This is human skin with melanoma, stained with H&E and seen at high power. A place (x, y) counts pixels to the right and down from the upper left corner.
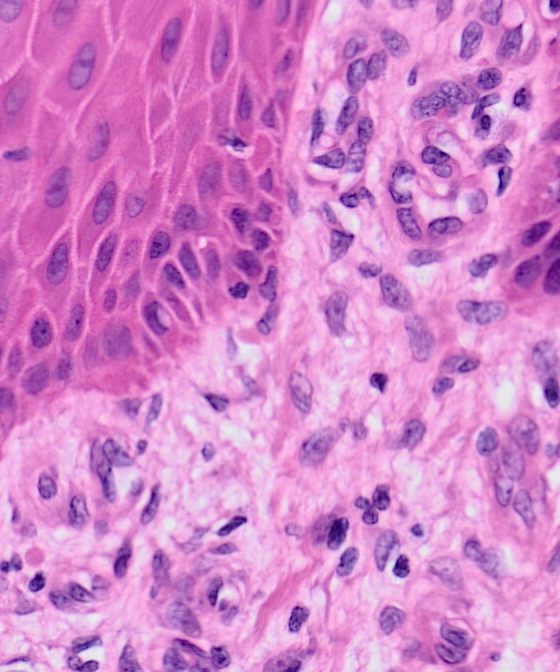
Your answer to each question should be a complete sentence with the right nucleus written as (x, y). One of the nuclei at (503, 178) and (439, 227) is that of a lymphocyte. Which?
Of the two nuclei, it is the one at (503, 178) that lies within a lymphocyte.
